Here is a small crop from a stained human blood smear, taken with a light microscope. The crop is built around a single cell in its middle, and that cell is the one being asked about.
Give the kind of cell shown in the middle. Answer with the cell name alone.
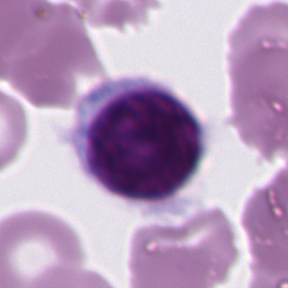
hairy cell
